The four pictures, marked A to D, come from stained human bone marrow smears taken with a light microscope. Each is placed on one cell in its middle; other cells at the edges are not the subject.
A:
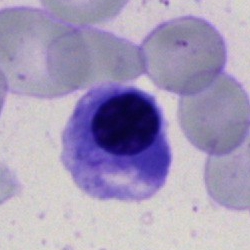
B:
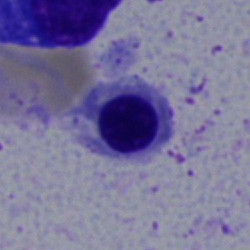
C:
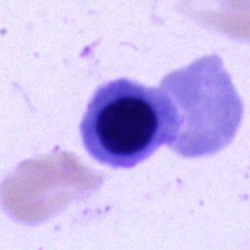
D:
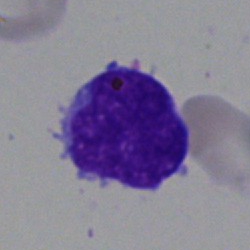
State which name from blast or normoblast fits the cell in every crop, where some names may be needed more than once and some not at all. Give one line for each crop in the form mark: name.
A: normoblast
B: normoblast
C: normoblast
D: blast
